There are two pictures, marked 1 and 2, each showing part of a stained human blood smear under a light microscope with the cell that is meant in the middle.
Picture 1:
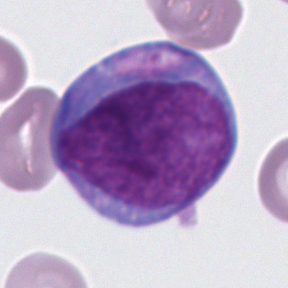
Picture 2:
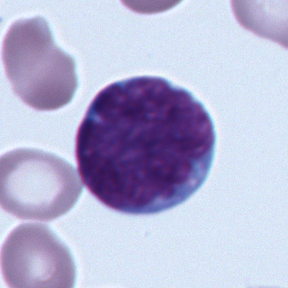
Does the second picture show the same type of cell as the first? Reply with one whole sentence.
No. Picture 1 shows an atypical promyelocyte, but picture 2 shows a myeloblast.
